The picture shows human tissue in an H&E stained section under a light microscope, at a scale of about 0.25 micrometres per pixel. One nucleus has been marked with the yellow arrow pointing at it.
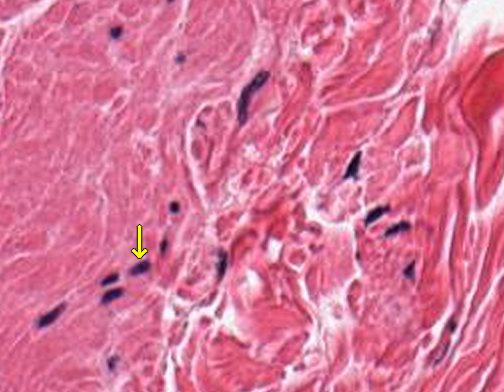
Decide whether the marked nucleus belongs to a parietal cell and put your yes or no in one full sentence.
No, the marked nucleus is not contained in a parietal cell.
